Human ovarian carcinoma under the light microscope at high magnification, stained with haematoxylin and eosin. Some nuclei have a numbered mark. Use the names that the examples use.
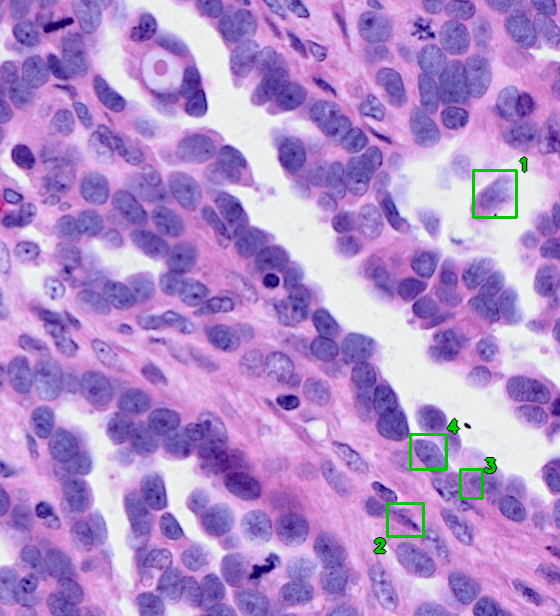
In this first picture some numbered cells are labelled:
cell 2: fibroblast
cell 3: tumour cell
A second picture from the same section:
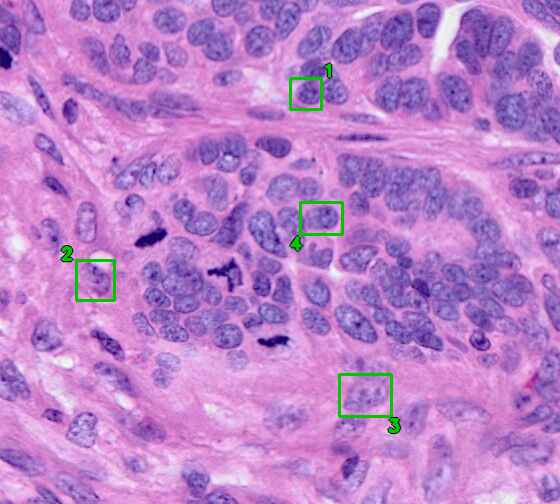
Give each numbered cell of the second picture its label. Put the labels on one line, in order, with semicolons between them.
tumour cell; fibroblast; fibroblast; tumour cell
